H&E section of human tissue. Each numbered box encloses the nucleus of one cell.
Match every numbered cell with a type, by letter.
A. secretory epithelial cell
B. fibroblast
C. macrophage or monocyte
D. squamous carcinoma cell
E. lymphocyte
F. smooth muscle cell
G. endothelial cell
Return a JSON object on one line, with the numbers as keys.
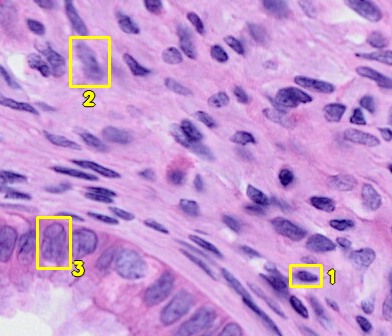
{"1": "B", "2": "B", "3": "A"}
